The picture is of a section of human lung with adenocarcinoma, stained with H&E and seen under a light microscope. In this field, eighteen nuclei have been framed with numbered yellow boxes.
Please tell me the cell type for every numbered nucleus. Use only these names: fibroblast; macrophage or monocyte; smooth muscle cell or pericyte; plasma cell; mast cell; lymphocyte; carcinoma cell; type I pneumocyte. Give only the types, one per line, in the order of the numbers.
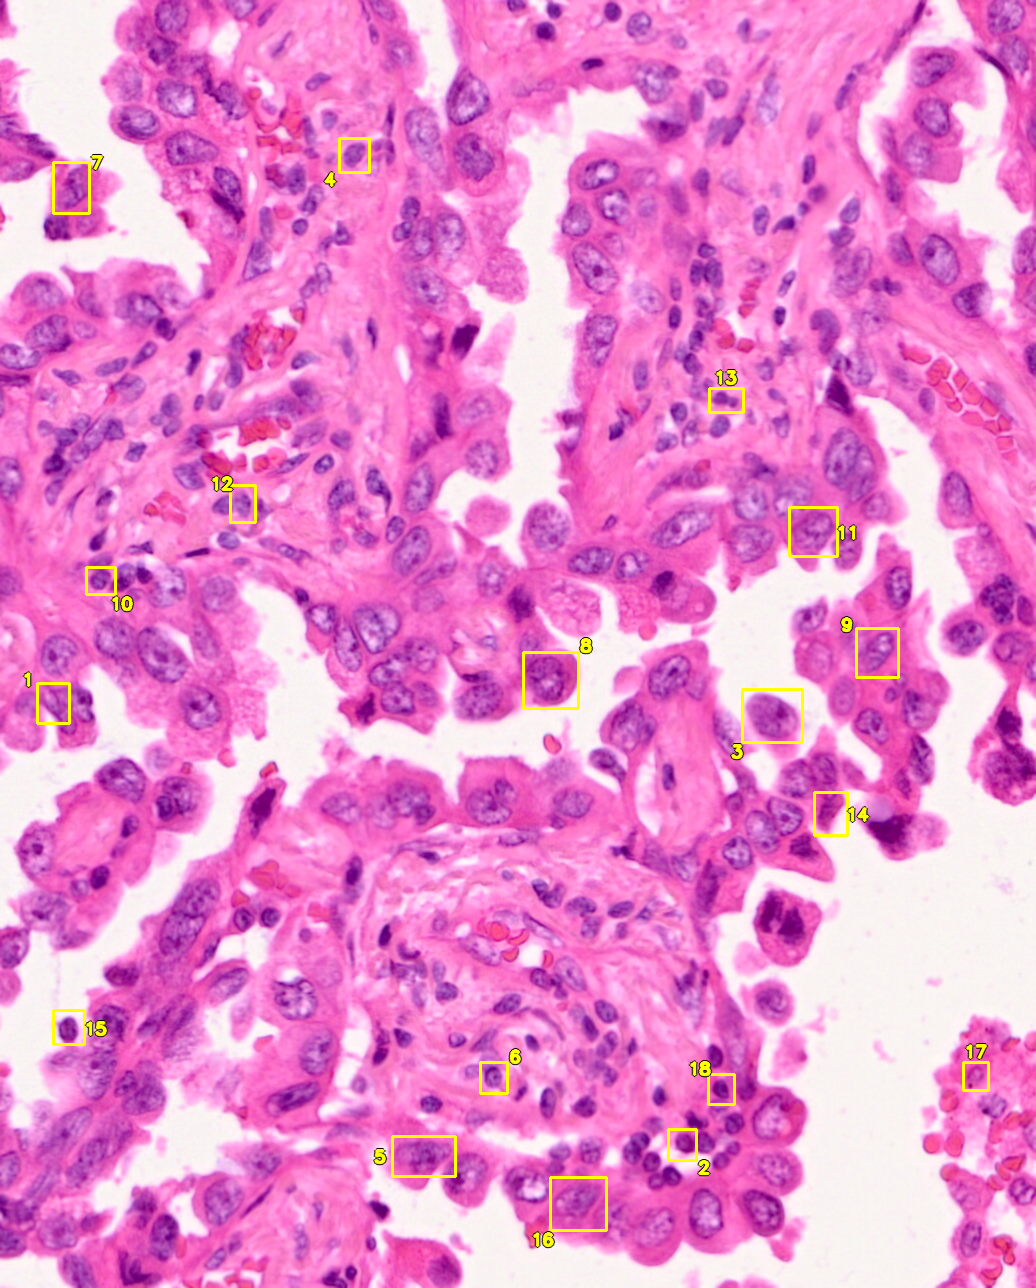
carcinoma cell
lymphocyte
carcinoma cell
lymphocyte
carcinoma cell
lymphocyte
carcinoma cell
carcinoma cell
carcinoma cell
lymphocyte
carcinoma cell
lymphocyte
lymphocyte
carcinoma cell
lymphocyte
carcinoma cell
macrophage or monocyte
lymphocyte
